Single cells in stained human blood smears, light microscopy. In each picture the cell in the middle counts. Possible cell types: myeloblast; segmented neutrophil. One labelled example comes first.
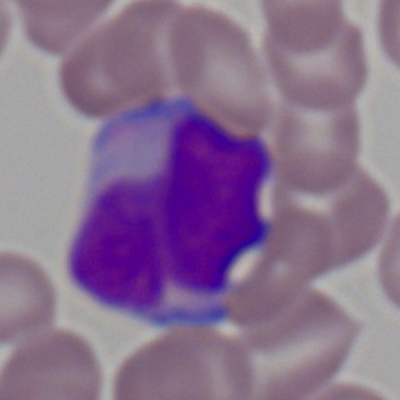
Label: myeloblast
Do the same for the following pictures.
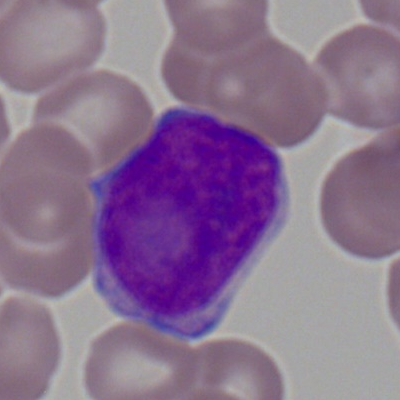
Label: myeloblast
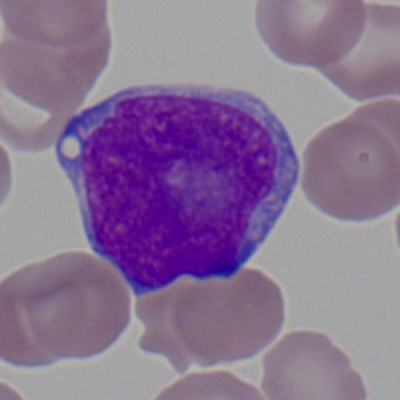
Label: myeloblast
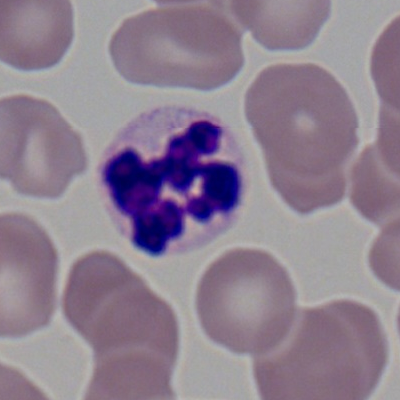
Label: segmented neutrophil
